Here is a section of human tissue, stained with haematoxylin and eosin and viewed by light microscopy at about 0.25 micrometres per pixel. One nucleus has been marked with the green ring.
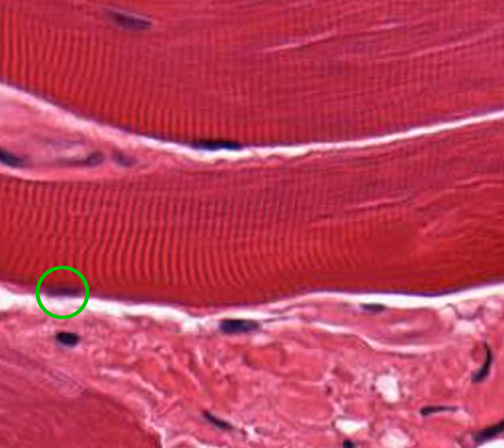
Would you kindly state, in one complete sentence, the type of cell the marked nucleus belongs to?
Singled out by the mark is the nucleus of a skeletal muscle fibre.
